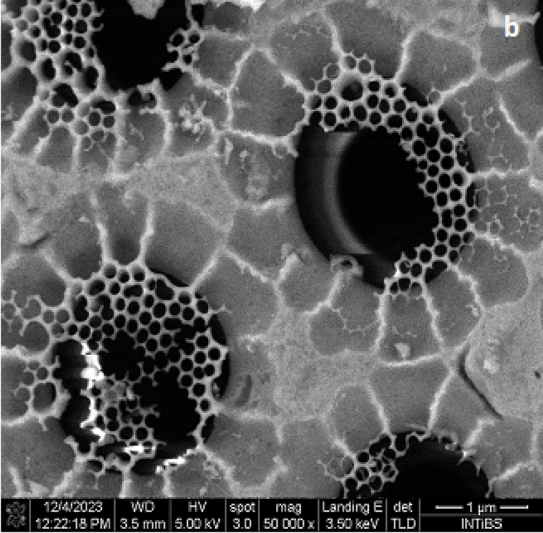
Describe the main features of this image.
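This scanning electron micrograph shows the surface of a diatomite shell fragment with large round openings. Each large opening is spanned at its rim by a fine honeycomb-like mesh of small polygonal pores with thin walls. Between the openings the surface is flat, and it is divided by bright thin ridges into irregular polygonal fields that radiate around the openings. Small particles and a thin granular coating lie over parts of the surface.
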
